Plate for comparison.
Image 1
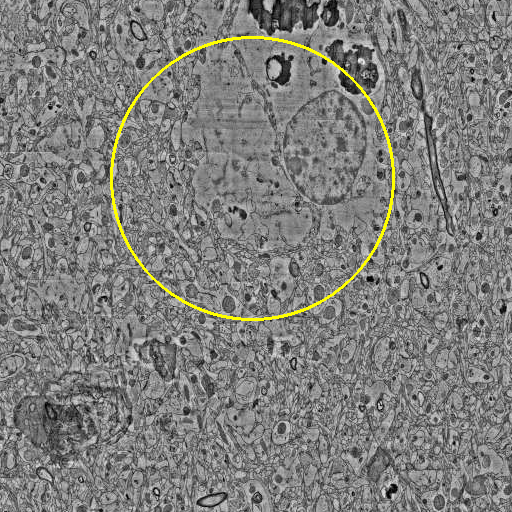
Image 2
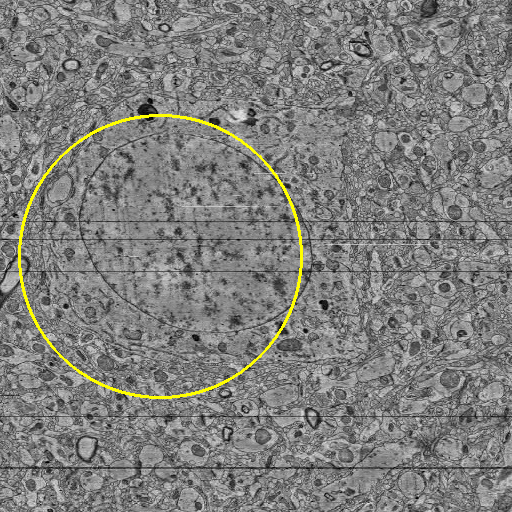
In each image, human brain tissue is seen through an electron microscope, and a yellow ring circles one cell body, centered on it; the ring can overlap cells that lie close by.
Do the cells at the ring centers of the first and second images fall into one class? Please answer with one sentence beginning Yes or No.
No, the first and second images show two classes of cell at the ring centers.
